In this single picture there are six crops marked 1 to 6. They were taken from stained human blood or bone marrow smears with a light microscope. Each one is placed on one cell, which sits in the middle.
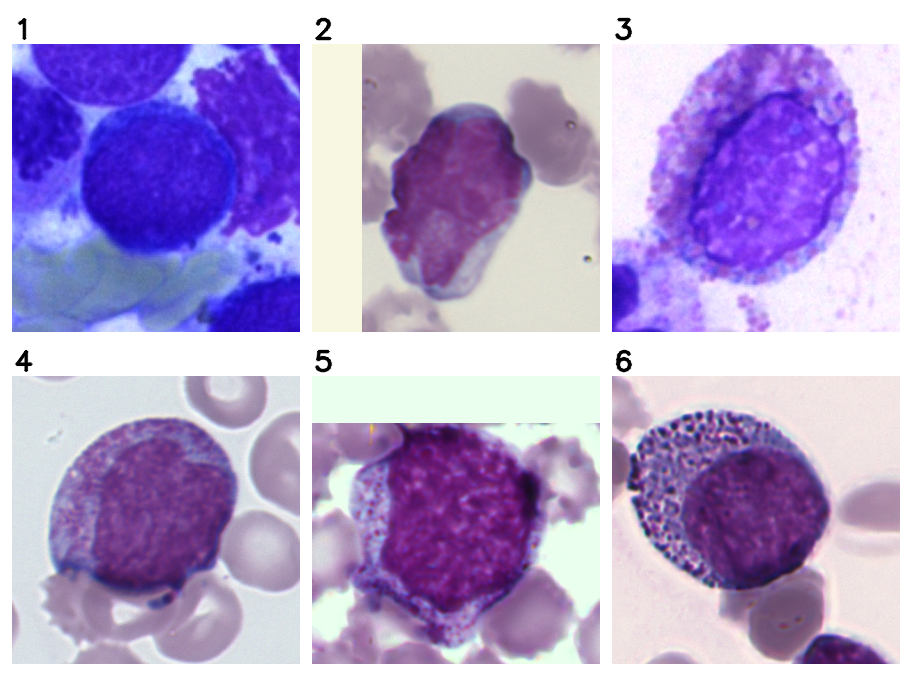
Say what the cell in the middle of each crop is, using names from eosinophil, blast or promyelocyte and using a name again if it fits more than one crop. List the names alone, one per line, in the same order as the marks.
blast
blast
eosinophil
promyelocyte
promyelocyte
promyelocyte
